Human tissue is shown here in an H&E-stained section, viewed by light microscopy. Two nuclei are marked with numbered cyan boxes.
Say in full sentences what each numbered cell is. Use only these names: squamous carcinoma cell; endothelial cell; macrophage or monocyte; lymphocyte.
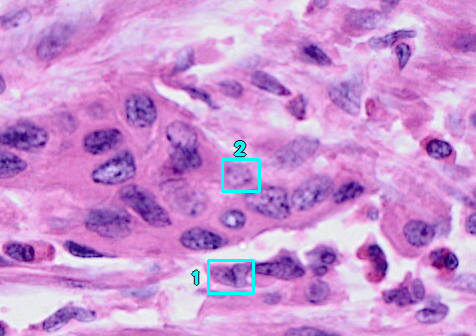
Cell 1 is a macrophage or monocyte. Cell 2 is a squamous carcinoma cell.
